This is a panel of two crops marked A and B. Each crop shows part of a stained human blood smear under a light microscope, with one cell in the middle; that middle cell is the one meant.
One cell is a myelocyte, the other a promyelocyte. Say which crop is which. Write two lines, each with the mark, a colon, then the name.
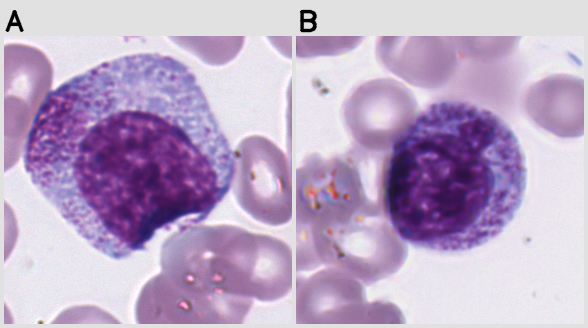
A: promyelocyte
B: myelocyte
